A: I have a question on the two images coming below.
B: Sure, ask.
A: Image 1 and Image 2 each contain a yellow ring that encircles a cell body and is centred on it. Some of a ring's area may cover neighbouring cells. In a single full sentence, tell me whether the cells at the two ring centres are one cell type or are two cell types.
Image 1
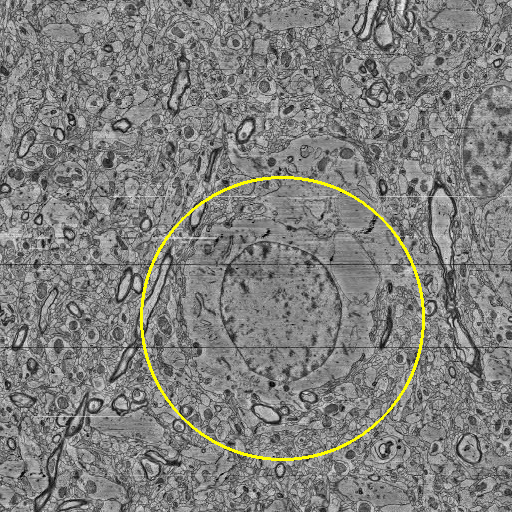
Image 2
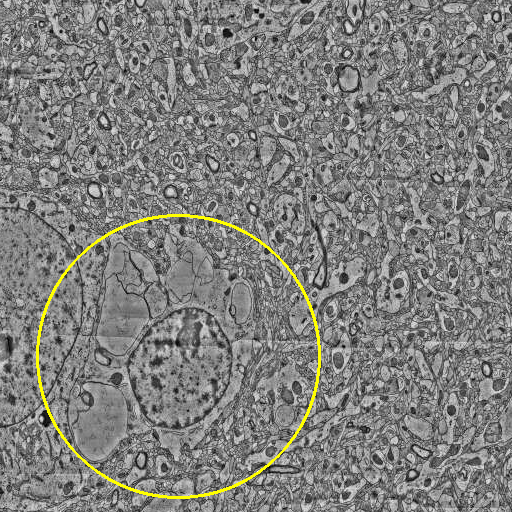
As for the ring-centre cells, the one in Image 1 and the one in Image 2 are one cell type.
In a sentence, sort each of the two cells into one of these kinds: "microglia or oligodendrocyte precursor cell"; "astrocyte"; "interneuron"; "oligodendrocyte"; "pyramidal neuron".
Each of the two rings is centred on an astrocyte.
